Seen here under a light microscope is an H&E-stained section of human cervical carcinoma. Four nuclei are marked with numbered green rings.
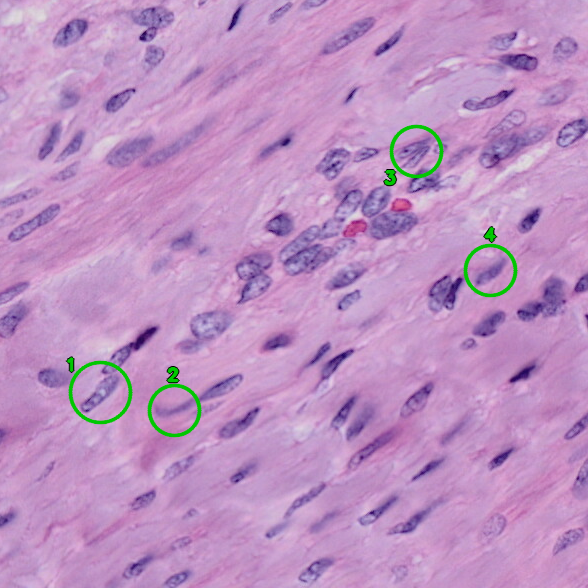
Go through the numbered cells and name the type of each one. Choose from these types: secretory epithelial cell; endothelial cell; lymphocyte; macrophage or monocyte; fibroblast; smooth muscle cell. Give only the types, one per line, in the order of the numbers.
fibroblast
fibroblast
endothelial cell
fibroblast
